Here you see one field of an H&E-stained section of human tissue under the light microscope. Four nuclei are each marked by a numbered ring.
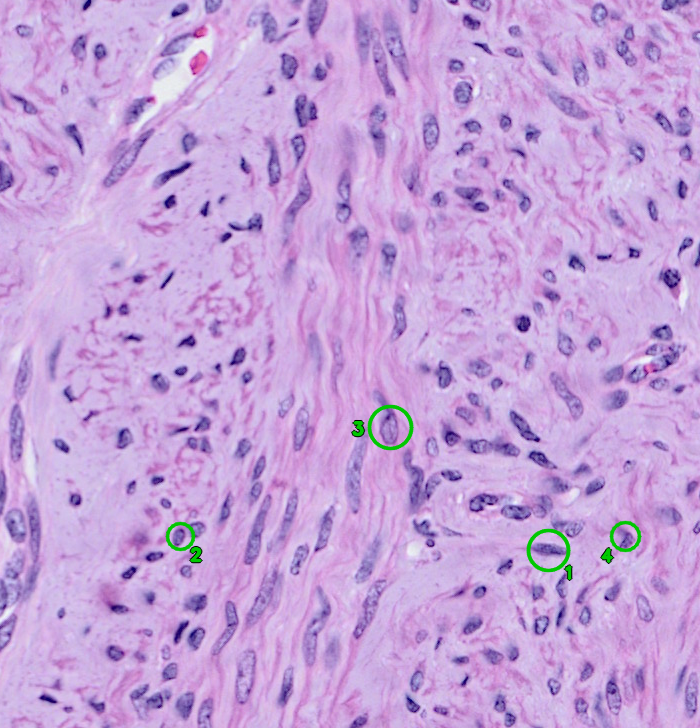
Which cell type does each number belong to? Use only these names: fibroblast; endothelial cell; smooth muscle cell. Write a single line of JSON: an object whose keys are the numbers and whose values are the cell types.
{"1": "fibroblast", "2": "smooth muscle cell", "3": "smooth muscle cell", "4": "smooth muscle cell"}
